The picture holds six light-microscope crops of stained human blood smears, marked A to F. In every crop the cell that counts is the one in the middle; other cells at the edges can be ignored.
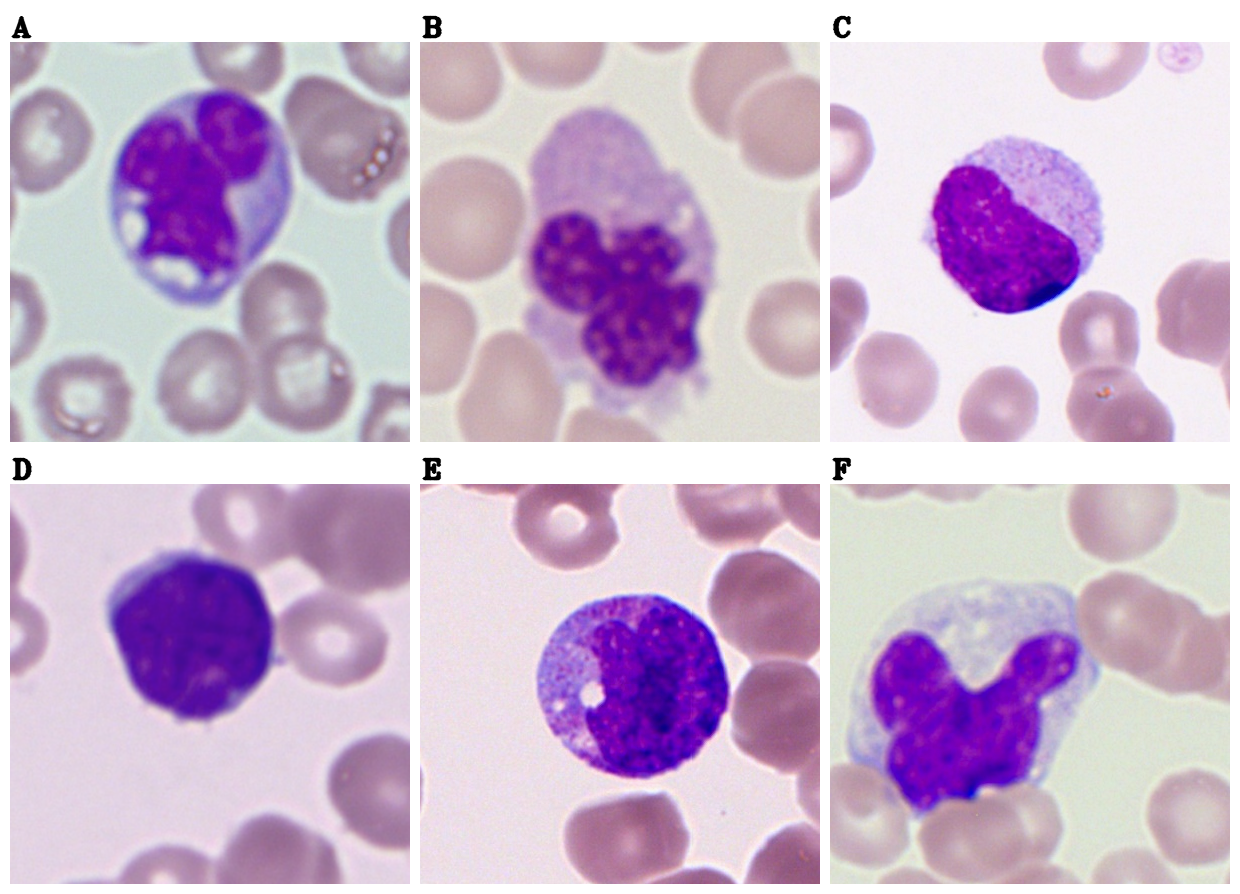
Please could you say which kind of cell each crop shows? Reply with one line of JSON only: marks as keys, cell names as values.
{"A": "monocyte", "B": "monocyte", "C": "lymphocyte", "D": "blast", "E": "monocyte", "F": "monocyte"}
